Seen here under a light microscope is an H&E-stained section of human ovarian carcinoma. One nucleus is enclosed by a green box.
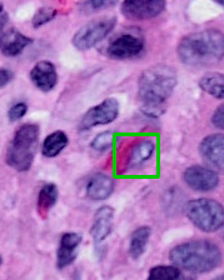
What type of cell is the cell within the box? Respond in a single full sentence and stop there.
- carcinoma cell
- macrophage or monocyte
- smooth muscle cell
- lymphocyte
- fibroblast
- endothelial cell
In this section of tissue, the cell within the box is an endothelial cell.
